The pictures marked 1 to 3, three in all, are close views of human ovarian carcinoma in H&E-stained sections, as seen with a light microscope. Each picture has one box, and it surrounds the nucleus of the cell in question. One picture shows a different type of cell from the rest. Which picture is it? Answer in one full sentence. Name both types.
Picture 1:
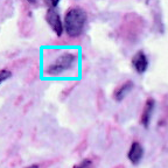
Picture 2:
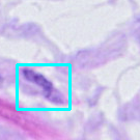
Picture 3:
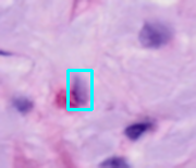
All pictures except 3 show fibroblasts; picture 3 shows an endothelial cell.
